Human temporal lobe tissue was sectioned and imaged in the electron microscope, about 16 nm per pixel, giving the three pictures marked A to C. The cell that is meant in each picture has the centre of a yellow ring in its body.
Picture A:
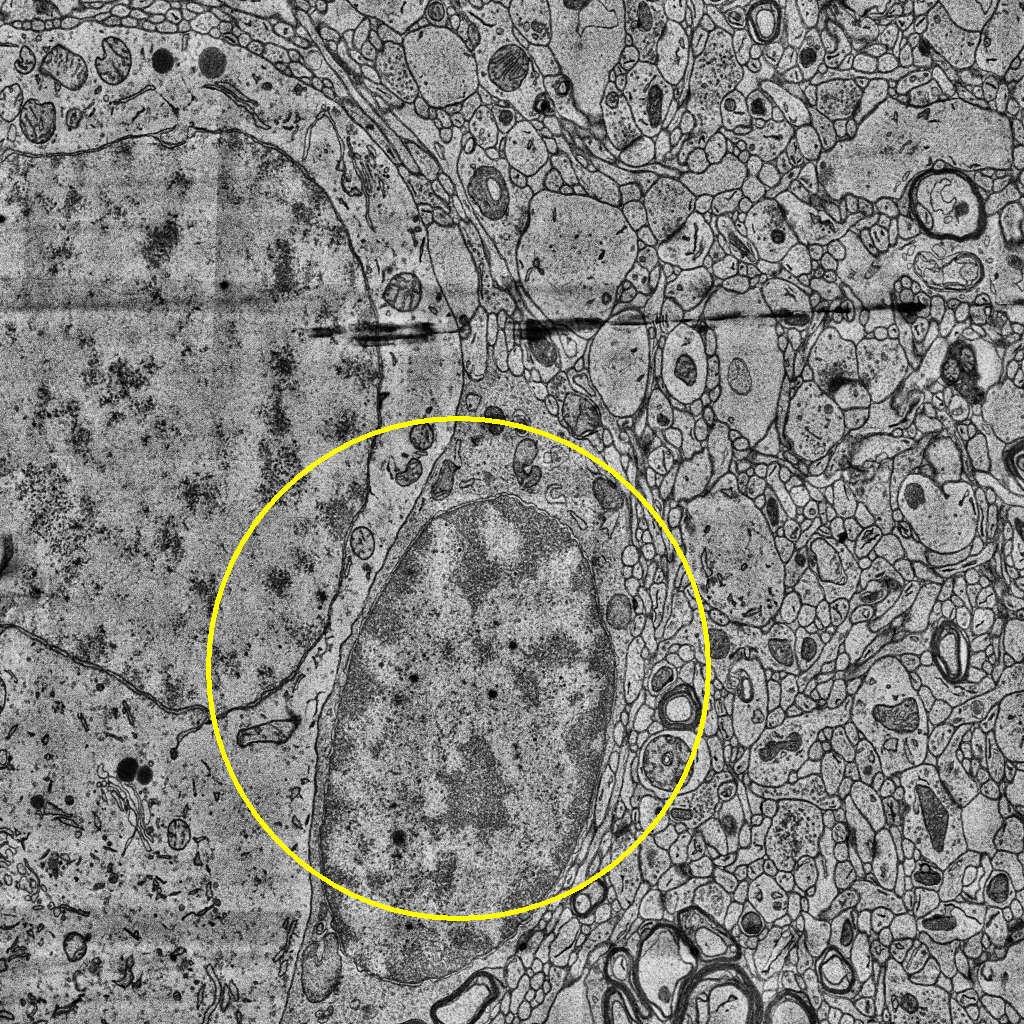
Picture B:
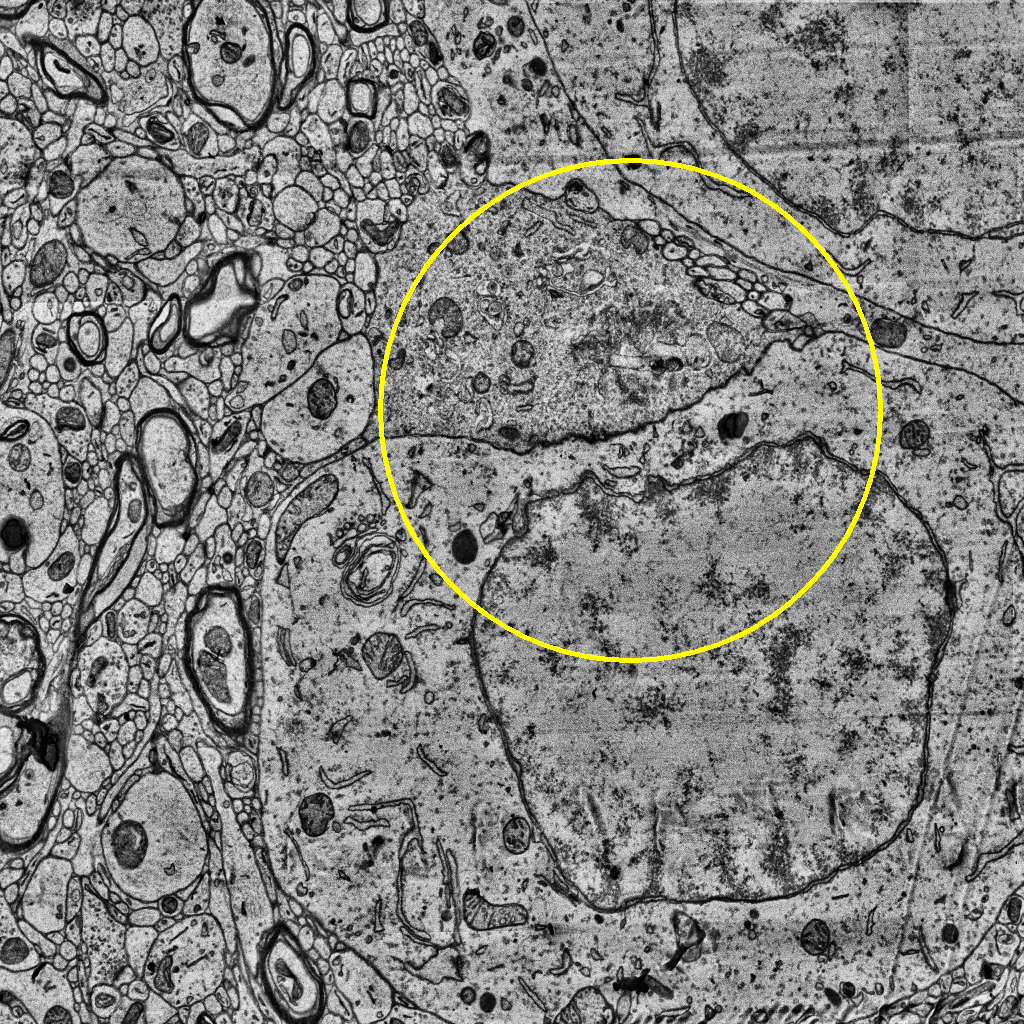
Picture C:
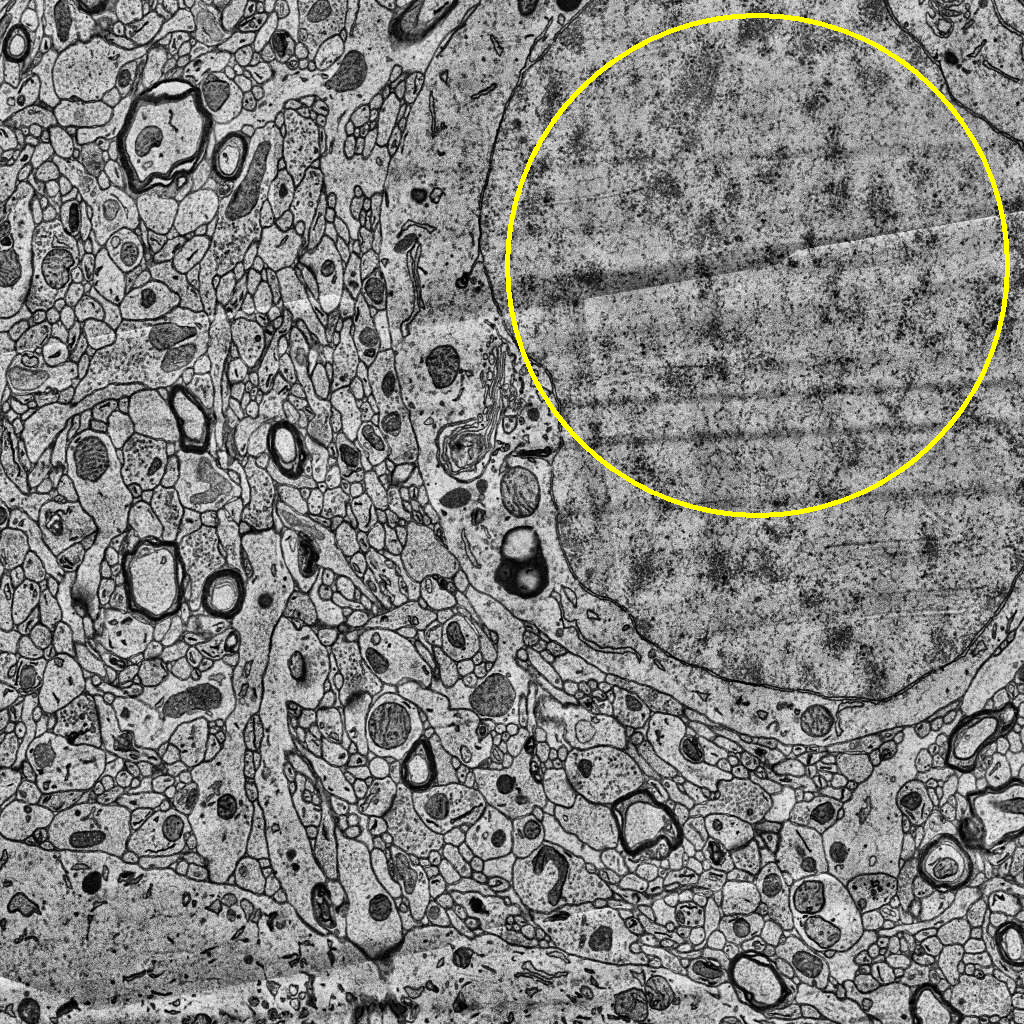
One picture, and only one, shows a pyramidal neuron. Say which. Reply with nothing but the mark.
C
